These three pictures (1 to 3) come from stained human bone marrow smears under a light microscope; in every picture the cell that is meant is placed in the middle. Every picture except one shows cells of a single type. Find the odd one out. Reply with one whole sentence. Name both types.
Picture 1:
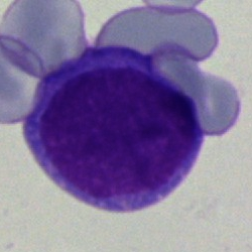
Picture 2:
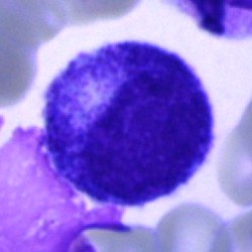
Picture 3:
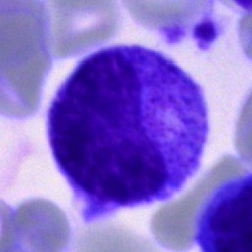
Unlike the rest, which show promyelocytes, picture 1 shows a blast.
